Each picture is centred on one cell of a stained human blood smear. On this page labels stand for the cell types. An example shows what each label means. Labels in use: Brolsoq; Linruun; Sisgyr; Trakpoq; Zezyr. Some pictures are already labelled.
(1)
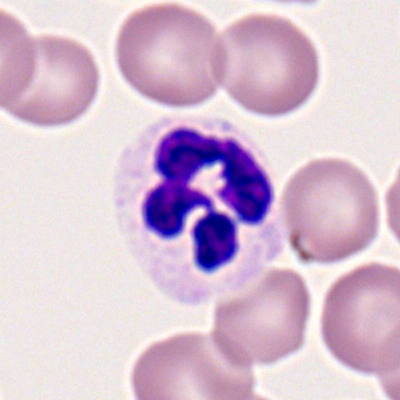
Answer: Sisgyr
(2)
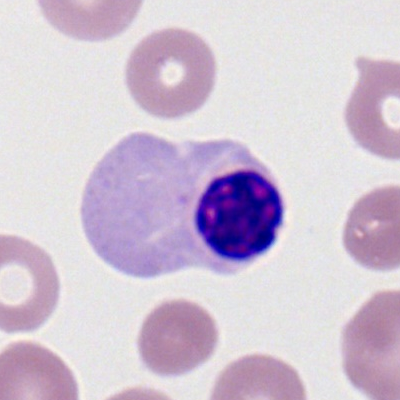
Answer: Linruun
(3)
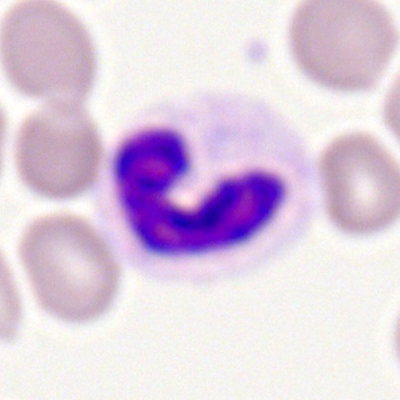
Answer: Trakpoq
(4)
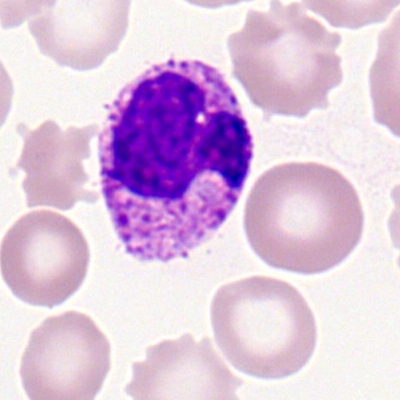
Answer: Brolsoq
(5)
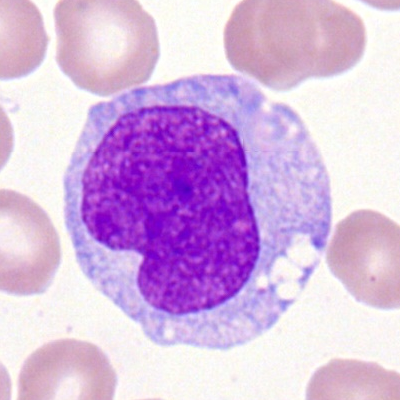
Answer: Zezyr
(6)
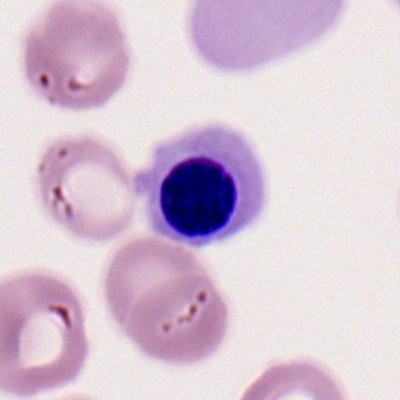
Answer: Linruun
